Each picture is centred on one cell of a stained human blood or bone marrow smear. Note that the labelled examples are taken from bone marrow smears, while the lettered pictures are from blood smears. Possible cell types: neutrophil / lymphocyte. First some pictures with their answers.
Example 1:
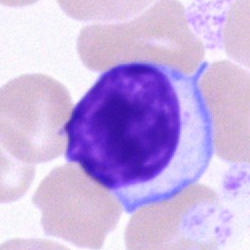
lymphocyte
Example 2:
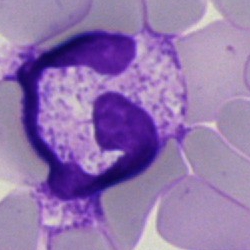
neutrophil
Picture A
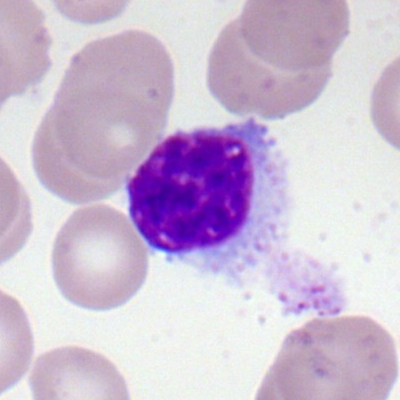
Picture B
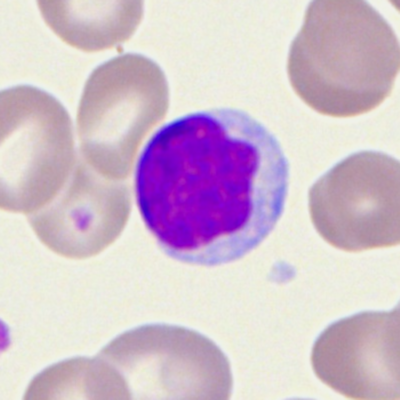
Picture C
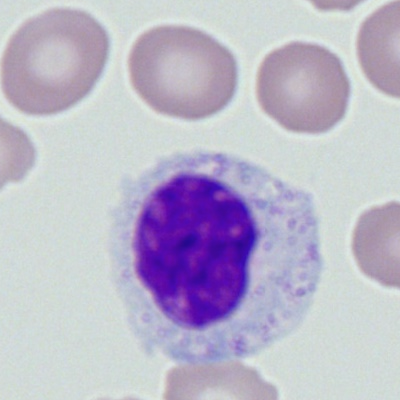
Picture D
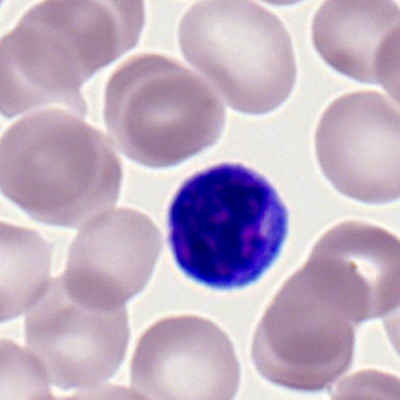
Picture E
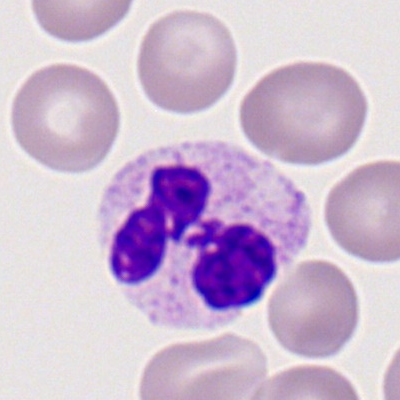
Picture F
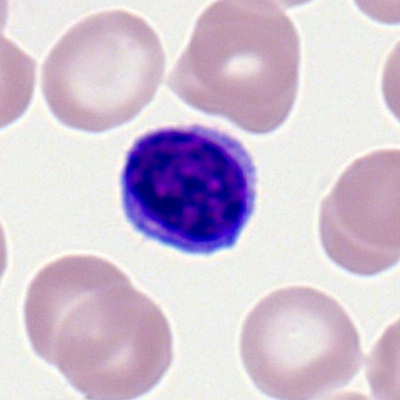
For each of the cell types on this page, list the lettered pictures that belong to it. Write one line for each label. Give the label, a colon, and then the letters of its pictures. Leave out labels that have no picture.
neutrophil: E
lymphocyte: A, B, C, D, F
